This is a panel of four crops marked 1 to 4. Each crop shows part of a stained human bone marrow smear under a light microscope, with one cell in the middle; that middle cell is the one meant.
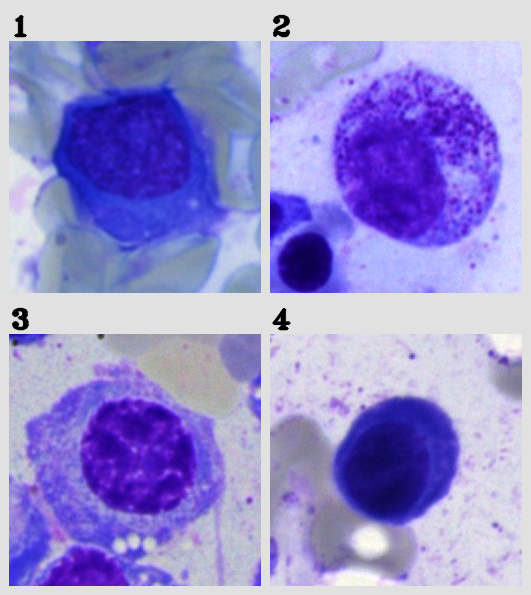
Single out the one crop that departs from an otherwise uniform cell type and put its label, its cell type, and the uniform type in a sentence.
Although the other crops all show plasma cells, crop 2 shows a myelocyte.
